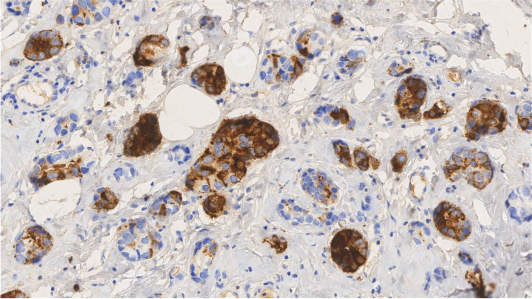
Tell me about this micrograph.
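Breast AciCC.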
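The tumour forms small rounded nests and gland-like acini set in a pale fibrous stroma, with a few empty round fat spaces between them. Many nests show intense, dark brown granular staining filling the cytoplasm of their cells, in some nests so dense that the nuclei are obscured. The staining is uneven: neighbouring nests and parts of nests remain unstained, showing pale cytoplasm and blue round nuclei. The tumour cells have round, fairly uniform nuclei and ample cytoplasm. Scattered stromal cells with small blue nuclei lie between the nests.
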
